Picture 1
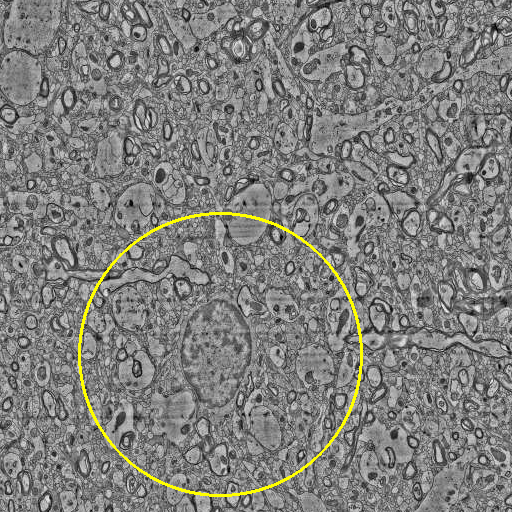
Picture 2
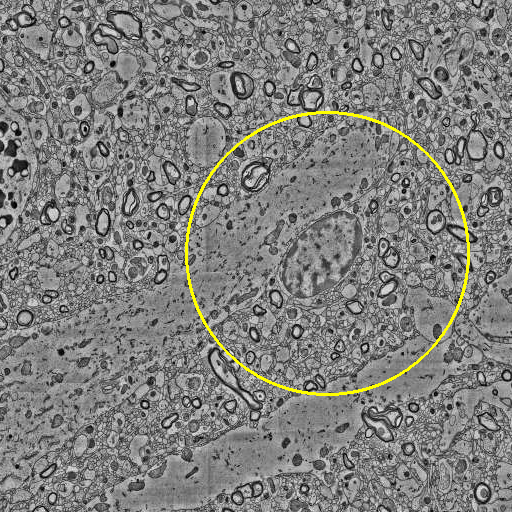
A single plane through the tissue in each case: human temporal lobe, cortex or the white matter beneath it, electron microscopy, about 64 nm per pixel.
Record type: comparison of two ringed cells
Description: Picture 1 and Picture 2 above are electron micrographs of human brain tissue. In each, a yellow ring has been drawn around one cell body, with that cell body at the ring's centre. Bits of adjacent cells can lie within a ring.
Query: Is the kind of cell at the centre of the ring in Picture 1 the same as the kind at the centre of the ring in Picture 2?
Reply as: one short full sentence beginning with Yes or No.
No, the two ringed cells are of two separate kinds.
